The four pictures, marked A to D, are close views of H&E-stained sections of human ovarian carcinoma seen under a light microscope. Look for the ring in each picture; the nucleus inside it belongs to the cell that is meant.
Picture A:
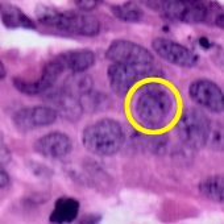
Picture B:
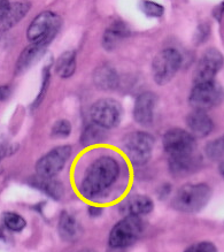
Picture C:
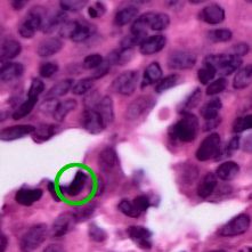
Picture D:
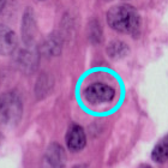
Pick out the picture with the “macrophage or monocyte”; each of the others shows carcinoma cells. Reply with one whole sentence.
The cell in picture D is the “macrophage or monocyte”.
